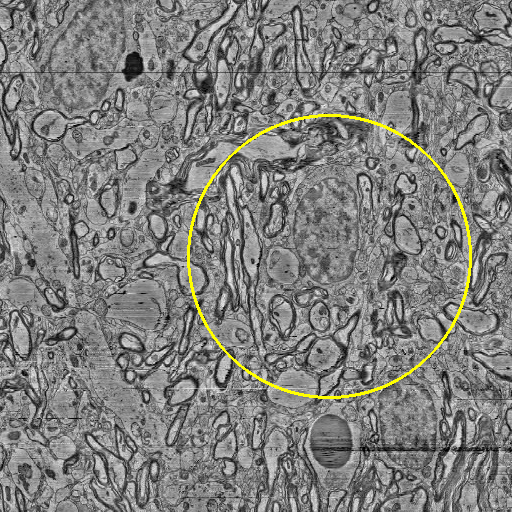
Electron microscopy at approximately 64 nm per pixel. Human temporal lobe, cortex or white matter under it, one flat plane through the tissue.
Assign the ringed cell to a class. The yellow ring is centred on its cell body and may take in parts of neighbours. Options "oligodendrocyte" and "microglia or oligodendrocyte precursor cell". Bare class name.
oligodendrocyte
